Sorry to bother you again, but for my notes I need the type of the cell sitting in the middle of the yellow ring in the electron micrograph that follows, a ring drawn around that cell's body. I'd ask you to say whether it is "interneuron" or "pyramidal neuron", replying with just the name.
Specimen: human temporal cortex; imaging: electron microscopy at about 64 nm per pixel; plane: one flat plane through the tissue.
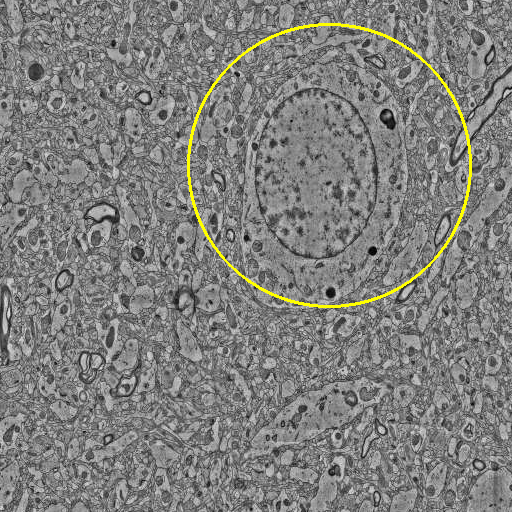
pyramidal neuron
